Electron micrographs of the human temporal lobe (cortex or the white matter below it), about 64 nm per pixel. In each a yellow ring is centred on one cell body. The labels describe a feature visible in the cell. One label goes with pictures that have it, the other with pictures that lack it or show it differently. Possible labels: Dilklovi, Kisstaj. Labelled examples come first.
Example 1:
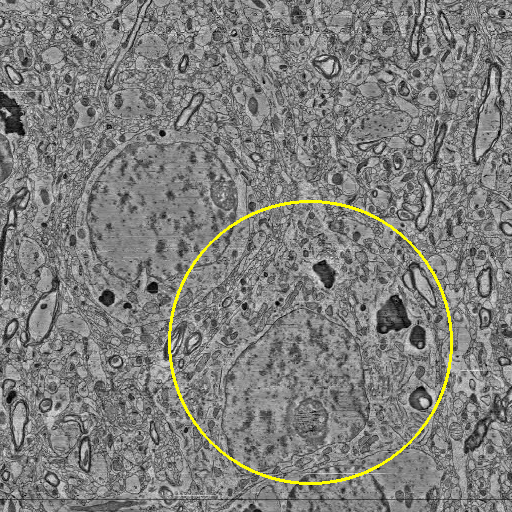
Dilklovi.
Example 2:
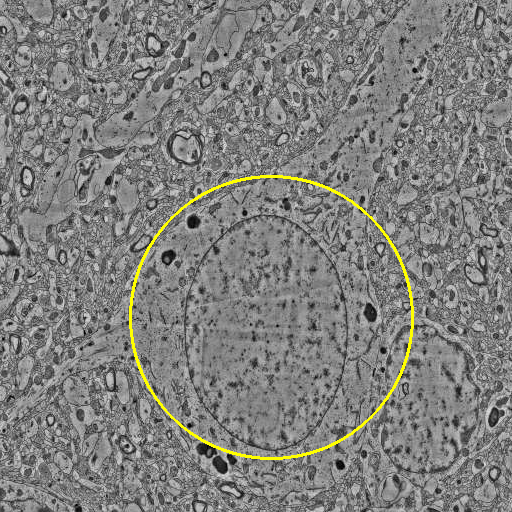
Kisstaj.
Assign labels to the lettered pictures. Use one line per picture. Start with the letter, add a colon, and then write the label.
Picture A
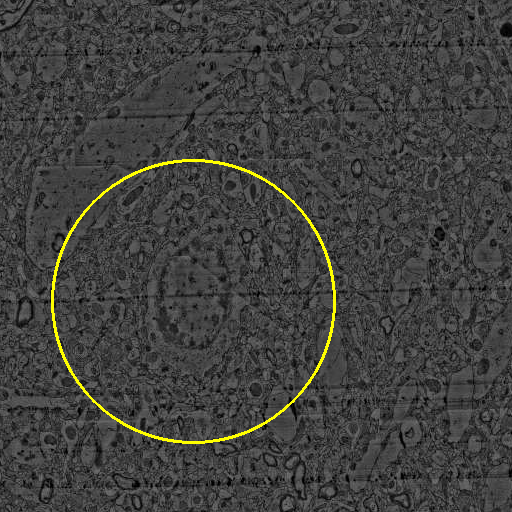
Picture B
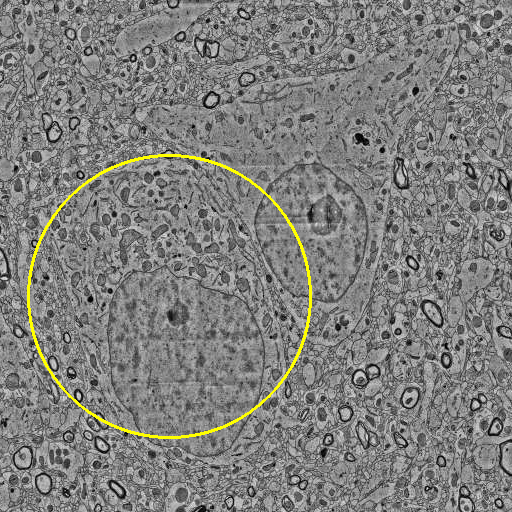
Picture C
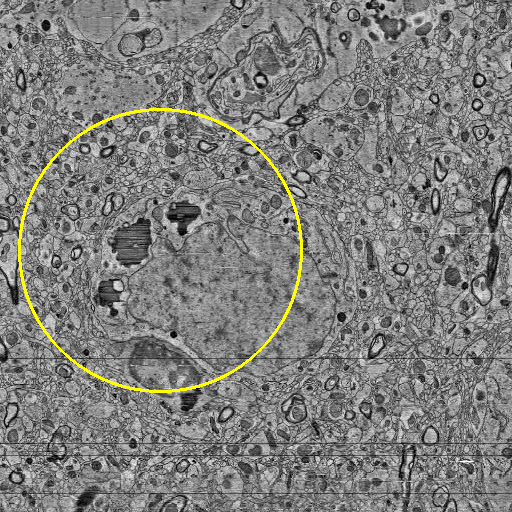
A: Kisstaj.
B: Dilklovi.
C: Kisstaj.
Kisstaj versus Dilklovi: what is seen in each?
Kisstaj: no nucleolus seen; Dilklovi: nucleolus seen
